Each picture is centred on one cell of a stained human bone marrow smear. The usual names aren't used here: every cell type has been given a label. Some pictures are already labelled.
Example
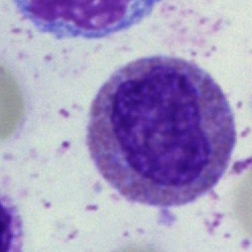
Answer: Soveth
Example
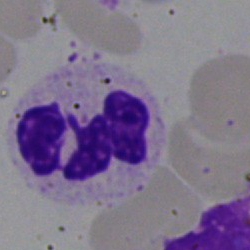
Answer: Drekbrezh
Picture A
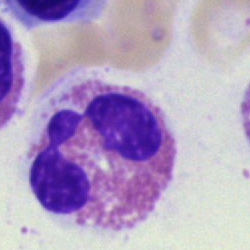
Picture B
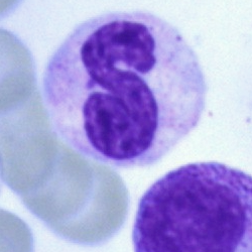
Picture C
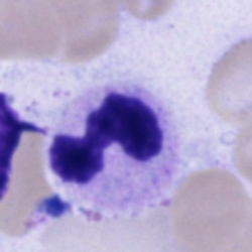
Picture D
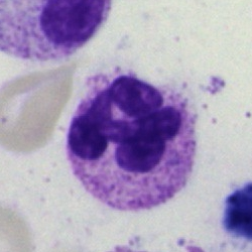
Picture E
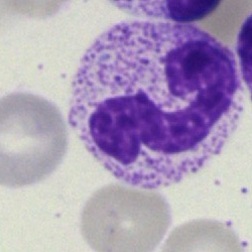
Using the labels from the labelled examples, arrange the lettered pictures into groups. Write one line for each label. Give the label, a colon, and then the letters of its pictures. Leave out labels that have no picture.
Soveth: A
Drekbrezh: B, C, D, E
